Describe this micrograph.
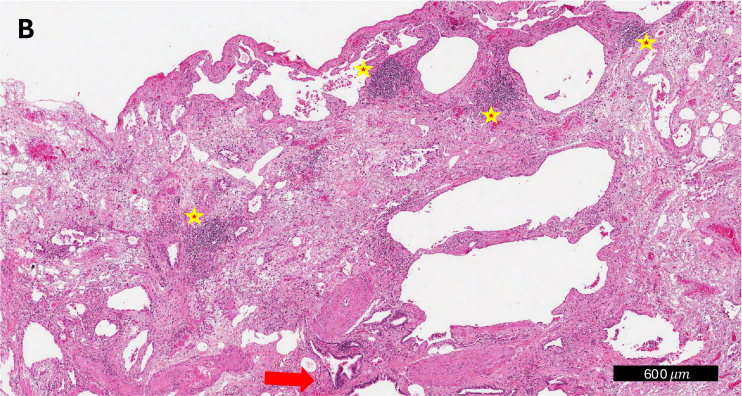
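This is lung tissue whose normal delicate alveolar walls have been replaced by broad bands of pink fibrous tissue. Several dense, rounded clusters of small dark purple nuclei, lymphoid aggregates, lie scattered within the scarred tissue. Between the fibrous bands are enlarged, irregular airspaces, and near the bottom an airway lining is caught up in the scar, in keeping with traction bronchiectasis.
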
